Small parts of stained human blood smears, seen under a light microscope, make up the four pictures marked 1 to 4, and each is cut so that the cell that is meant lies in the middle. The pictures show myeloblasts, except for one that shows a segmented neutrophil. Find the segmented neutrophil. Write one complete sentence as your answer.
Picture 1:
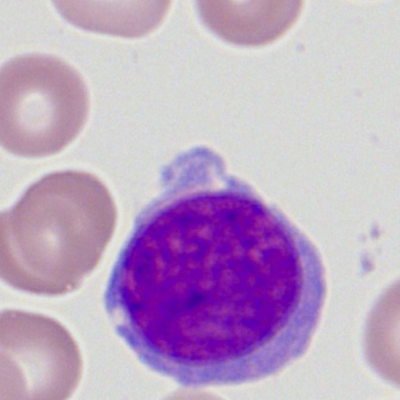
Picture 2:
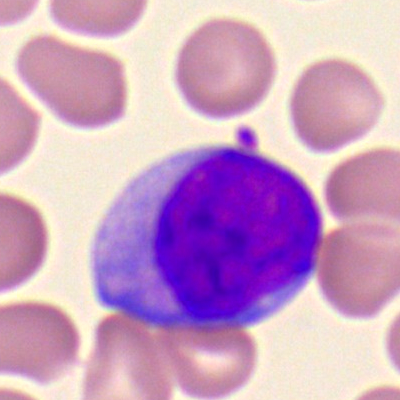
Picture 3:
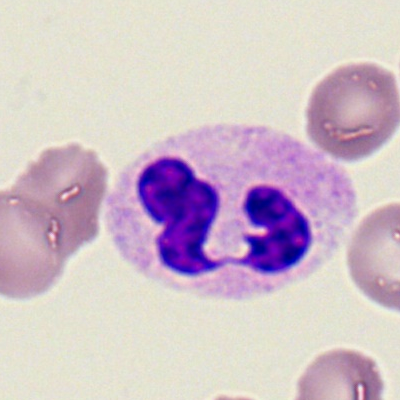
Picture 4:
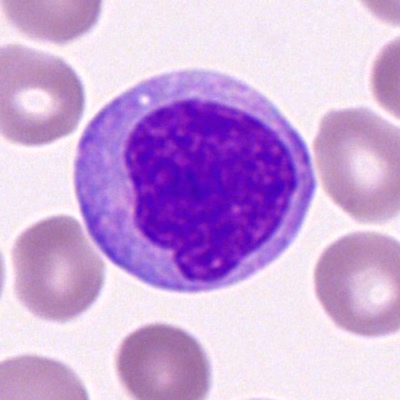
Picture 3 shows the segmented neutrophil.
